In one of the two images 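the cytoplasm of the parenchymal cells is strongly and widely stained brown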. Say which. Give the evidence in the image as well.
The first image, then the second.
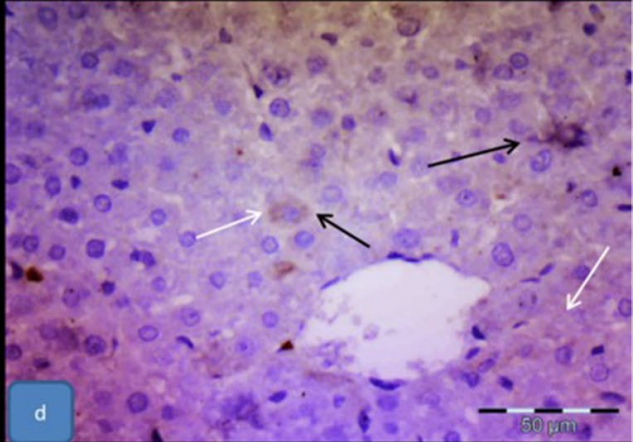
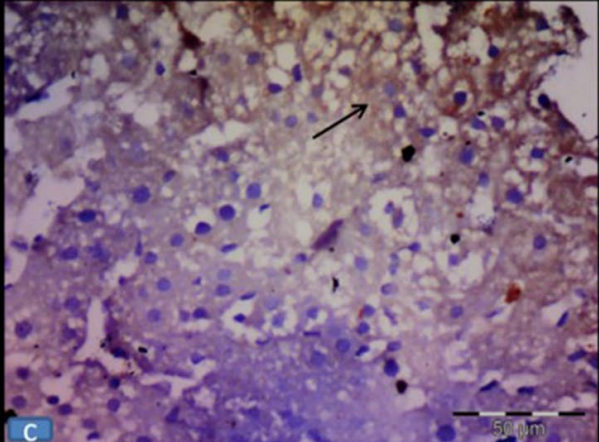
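The second image. First image: the polygonal cells show only a faint brownish tint, with brown limited to a few small cells. Second image: broad areas of cytoplasm are stained brown, especially at the top of the field.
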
